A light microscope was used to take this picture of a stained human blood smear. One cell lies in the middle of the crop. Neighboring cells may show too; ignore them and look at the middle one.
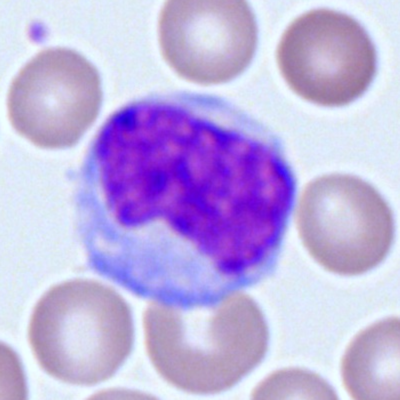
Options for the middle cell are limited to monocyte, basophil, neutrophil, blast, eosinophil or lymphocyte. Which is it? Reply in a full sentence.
The centrally positioned cell in the crop represents a monocyte.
